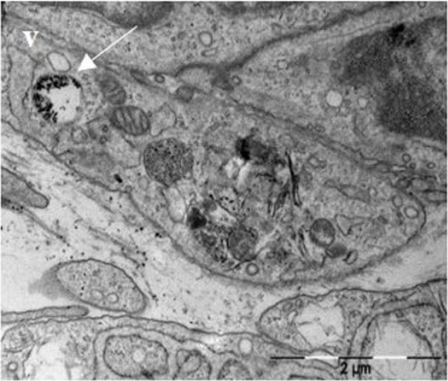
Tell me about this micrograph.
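Cytoplasm of an elongated cell is seen at high magnification, with mitochondria showing cristae and several membrane-bound compartments. Near the upper left of the cell a small rounded vesicle with a pale lumen holds a cluster of black, very electron-dense granules. Further along the cell lie larger compartments containing heterogeneous dark and fibrous material. Neighbouring cells with their plasma membranes border it above and below.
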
